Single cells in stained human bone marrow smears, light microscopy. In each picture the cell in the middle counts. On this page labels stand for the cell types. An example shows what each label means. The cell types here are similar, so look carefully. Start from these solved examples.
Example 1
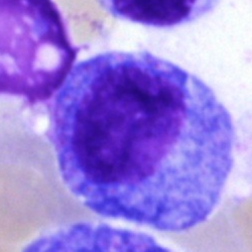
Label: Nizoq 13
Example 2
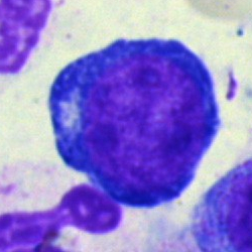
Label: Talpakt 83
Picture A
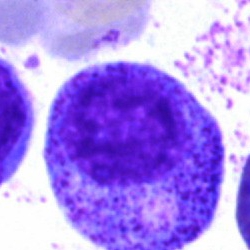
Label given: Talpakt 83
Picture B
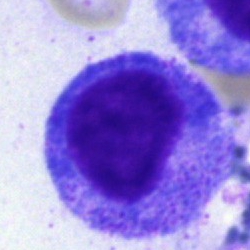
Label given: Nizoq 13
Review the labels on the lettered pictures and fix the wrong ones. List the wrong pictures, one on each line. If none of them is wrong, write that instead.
A: not Talpakt 83 but Nizoq 13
